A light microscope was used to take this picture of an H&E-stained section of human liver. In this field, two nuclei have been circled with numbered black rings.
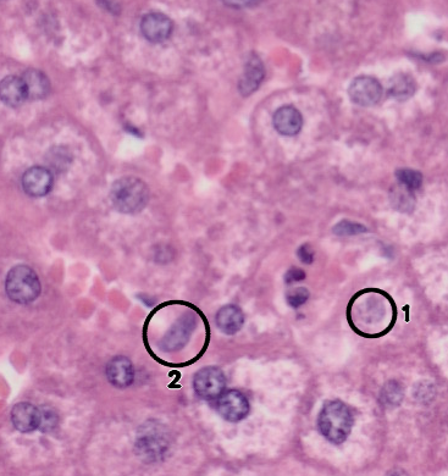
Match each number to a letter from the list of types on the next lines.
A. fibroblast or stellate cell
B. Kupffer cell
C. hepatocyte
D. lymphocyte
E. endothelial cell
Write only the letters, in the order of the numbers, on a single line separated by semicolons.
C; B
